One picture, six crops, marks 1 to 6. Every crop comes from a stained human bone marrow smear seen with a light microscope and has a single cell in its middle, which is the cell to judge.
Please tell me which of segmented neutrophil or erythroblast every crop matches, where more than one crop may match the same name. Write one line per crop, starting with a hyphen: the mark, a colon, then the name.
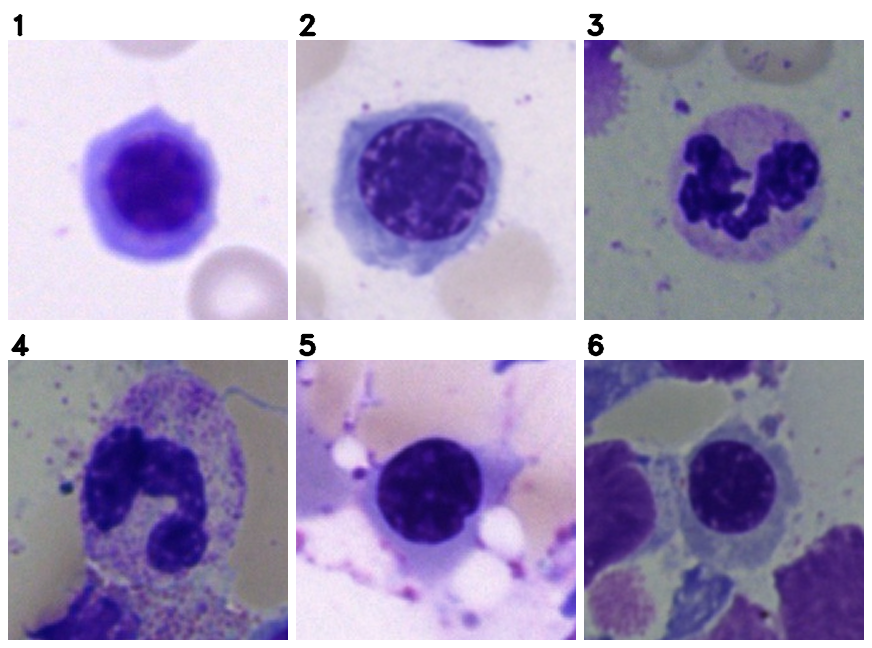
- 1: erythroblast
- 2: erythroblast
- 3: segmented neutrophil
- 4: segmented neutrophil
- 5: erythroblast
- 6: erythroblast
